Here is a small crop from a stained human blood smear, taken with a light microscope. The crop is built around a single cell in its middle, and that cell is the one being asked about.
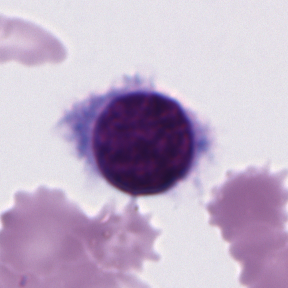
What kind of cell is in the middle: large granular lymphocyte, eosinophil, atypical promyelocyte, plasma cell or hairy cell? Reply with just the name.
hairy cell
